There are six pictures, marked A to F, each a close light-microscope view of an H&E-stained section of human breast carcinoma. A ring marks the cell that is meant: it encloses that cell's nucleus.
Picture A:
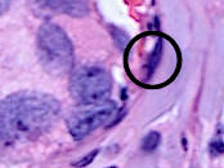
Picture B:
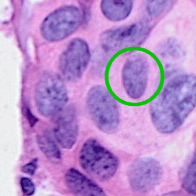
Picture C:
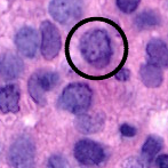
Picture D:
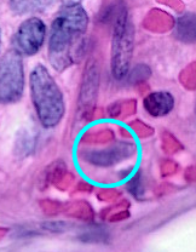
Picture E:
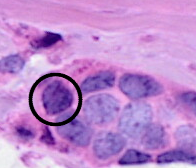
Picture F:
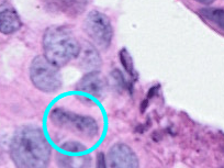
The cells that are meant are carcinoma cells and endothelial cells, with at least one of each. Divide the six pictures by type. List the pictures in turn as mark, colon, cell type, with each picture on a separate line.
A: endothelial cell
B: carcinoma cell
C: carcinoma cell
D: endothelial cell
E: carcinoma cell
F: carcinoma cell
